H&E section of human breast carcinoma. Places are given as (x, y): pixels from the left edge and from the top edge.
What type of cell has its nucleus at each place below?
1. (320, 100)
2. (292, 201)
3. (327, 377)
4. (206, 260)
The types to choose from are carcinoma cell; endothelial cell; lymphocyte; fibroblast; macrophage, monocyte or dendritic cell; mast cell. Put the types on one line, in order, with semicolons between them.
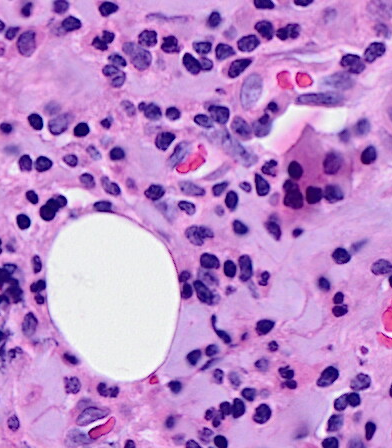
endothelial cell; lymphocyte; lymphocyte; lymphocyte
